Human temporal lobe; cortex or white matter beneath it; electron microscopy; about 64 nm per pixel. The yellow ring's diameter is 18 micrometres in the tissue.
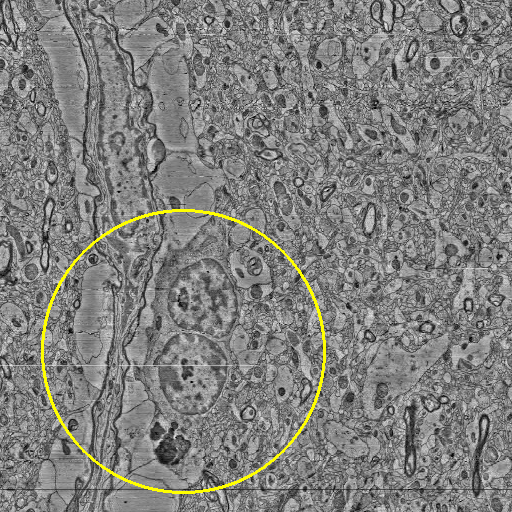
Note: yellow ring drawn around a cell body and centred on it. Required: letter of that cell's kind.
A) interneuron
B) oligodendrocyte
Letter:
B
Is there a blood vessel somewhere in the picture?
Yes, a blood vessel can be seen.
